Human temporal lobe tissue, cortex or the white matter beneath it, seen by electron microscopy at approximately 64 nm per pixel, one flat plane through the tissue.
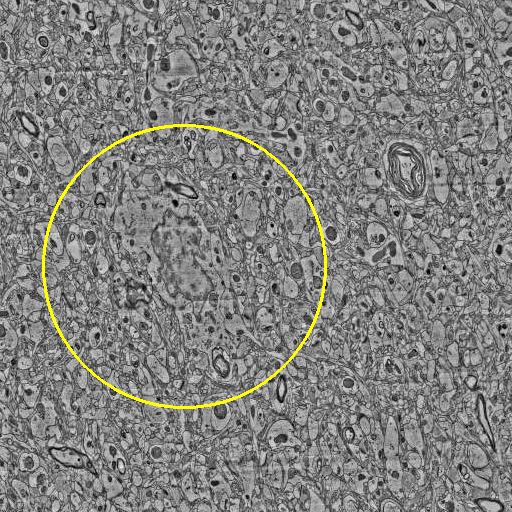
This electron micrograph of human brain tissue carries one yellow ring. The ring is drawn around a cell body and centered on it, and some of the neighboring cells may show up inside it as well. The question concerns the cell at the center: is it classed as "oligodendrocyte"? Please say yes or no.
No, it is classed as another kind.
